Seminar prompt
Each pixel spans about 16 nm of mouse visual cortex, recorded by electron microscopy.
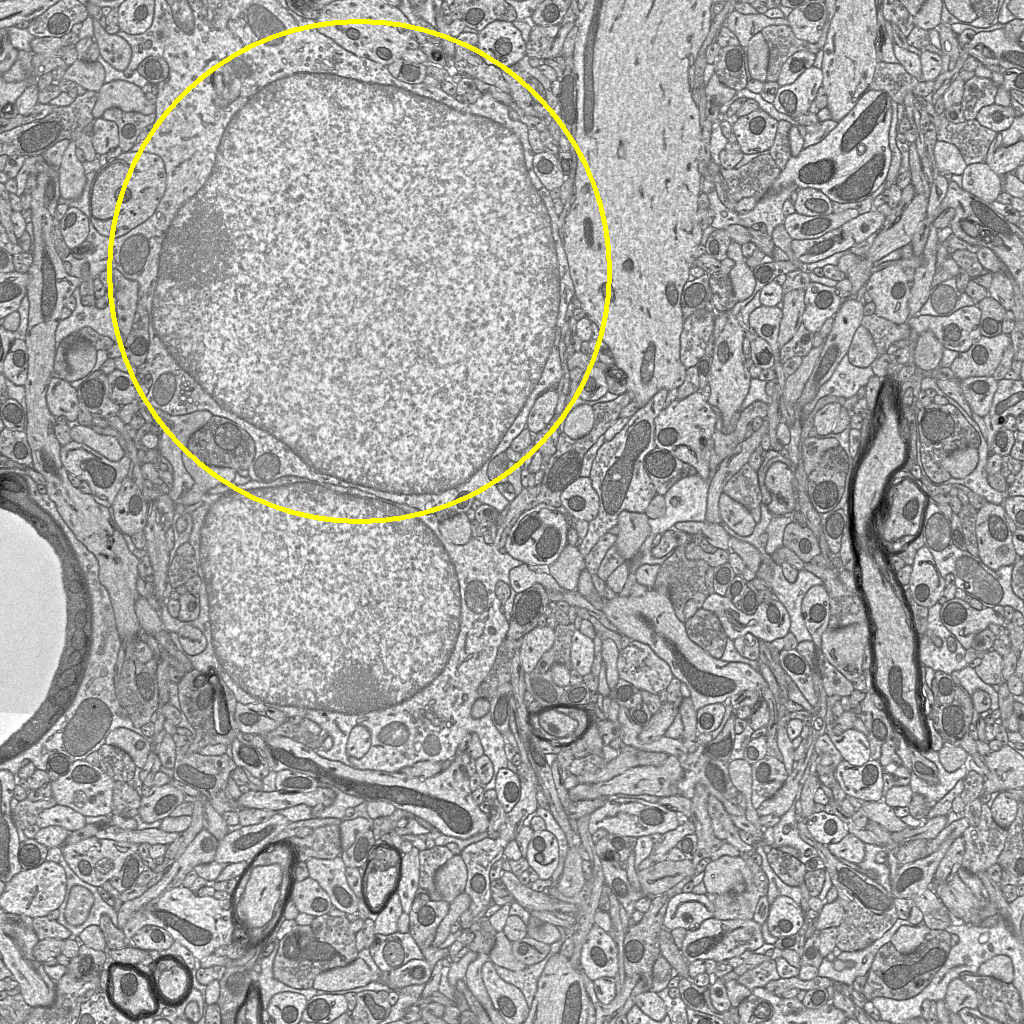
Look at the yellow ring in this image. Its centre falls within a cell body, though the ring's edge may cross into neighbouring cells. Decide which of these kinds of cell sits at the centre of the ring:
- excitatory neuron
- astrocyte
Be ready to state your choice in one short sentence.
The kind of cell at the ring's centre is an astrocyte.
